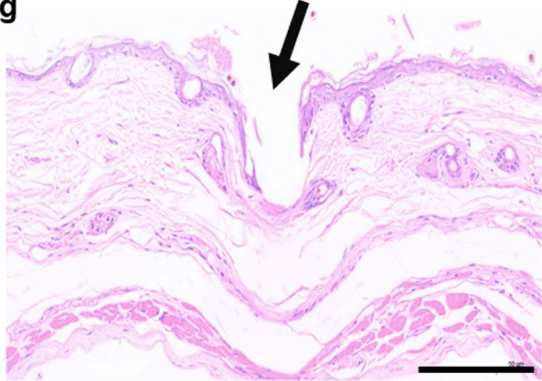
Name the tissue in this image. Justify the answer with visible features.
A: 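Skin. A thin stratified surface layer covers a pale fibrous layer below. Hair follicles and glands lie in the fibrous layer. Bundles of deeper pink muscle run along the bottom.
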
